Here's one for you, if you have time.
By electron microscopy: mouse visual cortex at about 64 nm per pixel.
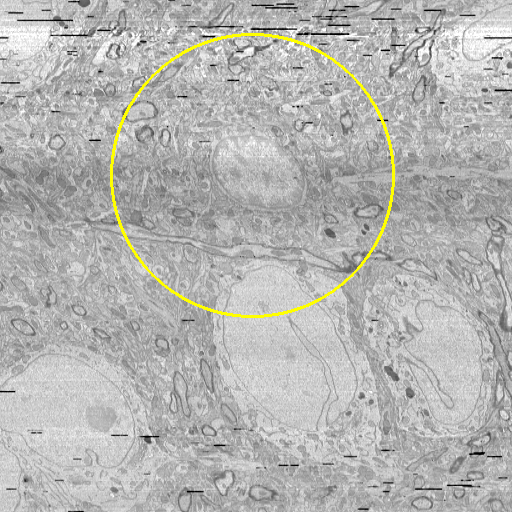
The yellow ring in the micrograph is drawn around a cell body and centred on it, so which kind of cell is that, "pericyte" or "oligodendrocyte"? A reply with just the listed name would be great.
oligodendrocyte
